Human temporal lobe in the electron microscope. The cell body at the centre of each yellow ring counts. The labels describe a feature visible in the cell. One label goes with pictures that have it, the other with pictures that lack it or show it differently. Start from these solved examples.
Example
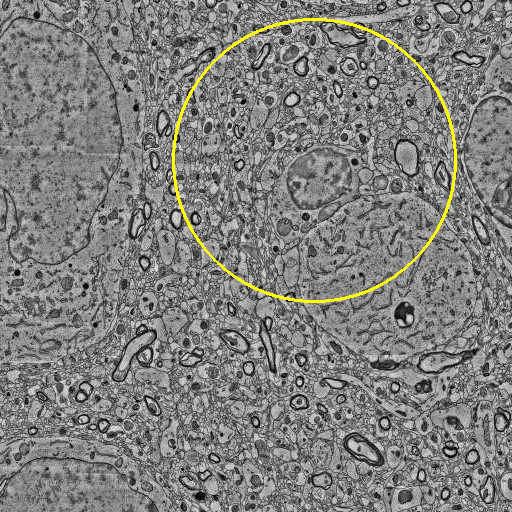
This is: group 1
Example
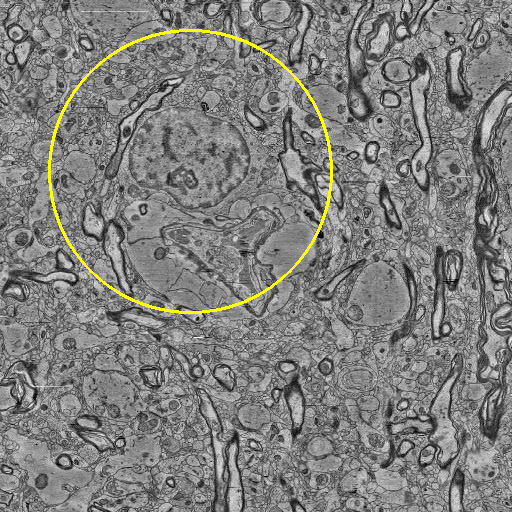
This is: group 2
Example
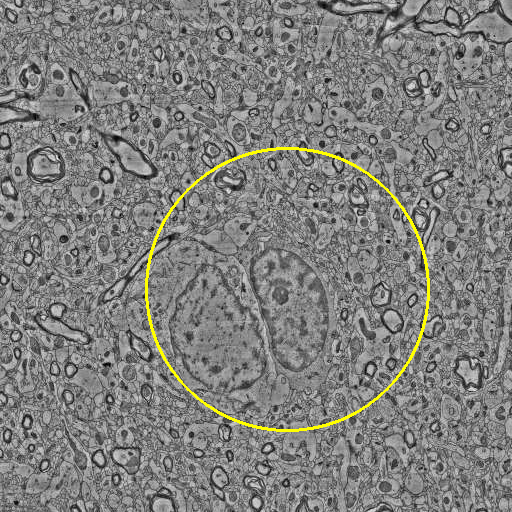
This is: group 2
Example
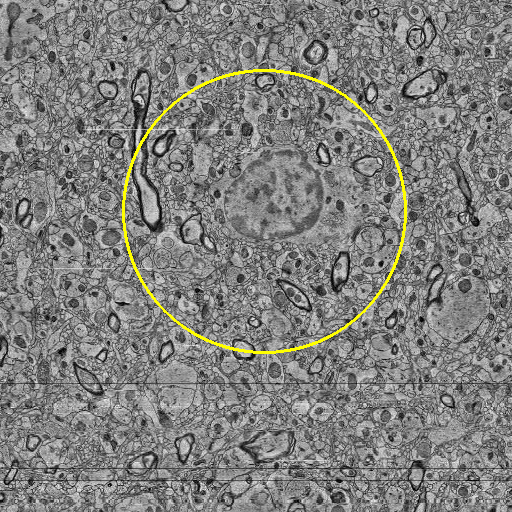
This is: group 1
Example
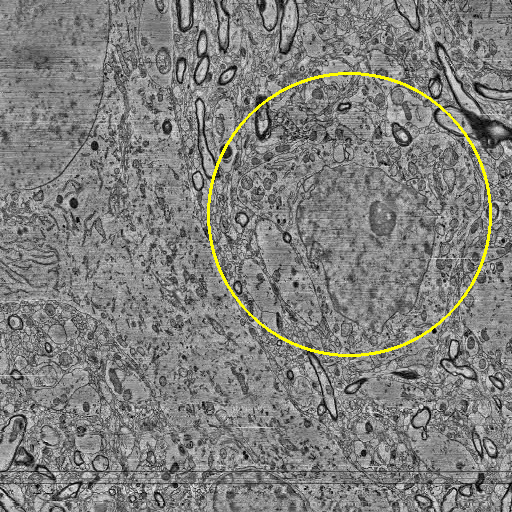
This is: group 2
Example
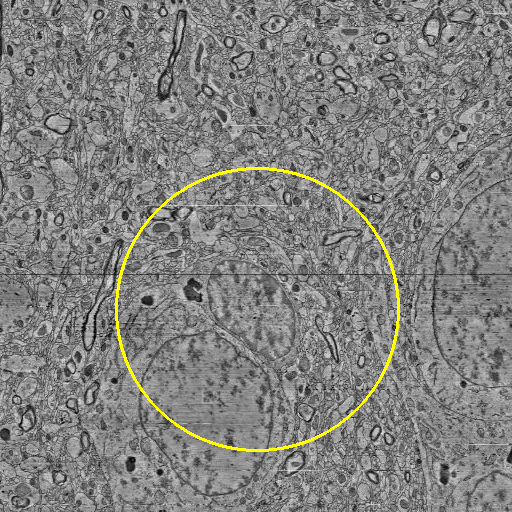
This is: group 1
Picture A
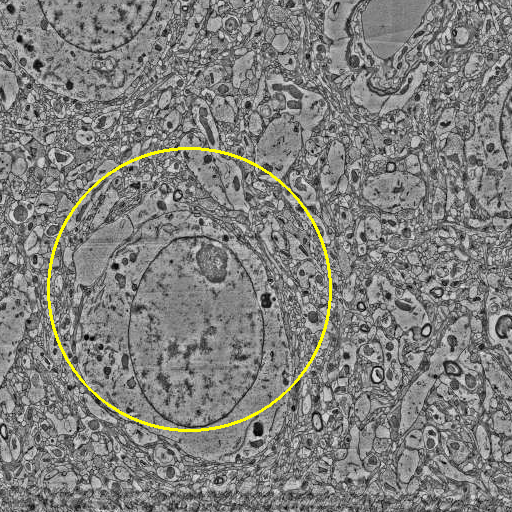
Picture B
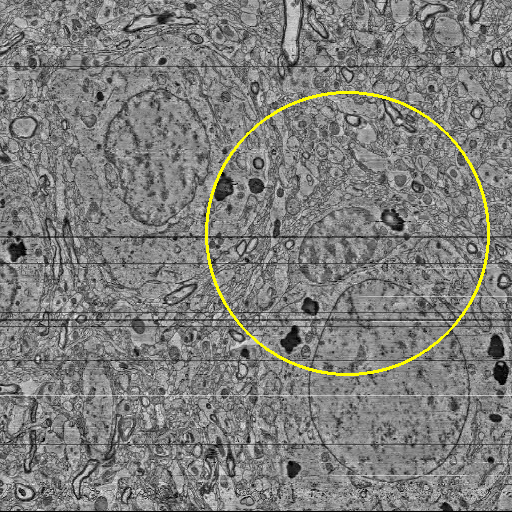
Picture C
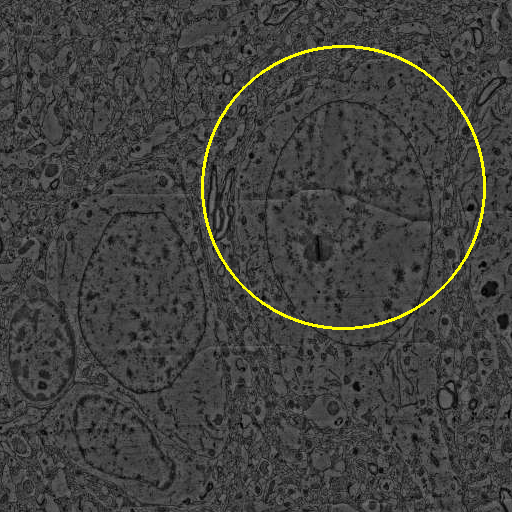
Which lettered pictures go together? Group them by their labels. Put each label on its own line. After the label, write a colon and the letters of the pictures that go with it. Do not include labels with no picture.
group 1: B
group 2: A, C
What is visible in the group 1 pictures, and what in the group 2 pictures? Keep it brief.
Seen in group 1: no nucleolus seen; seen in group 2: nucleolus seen.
